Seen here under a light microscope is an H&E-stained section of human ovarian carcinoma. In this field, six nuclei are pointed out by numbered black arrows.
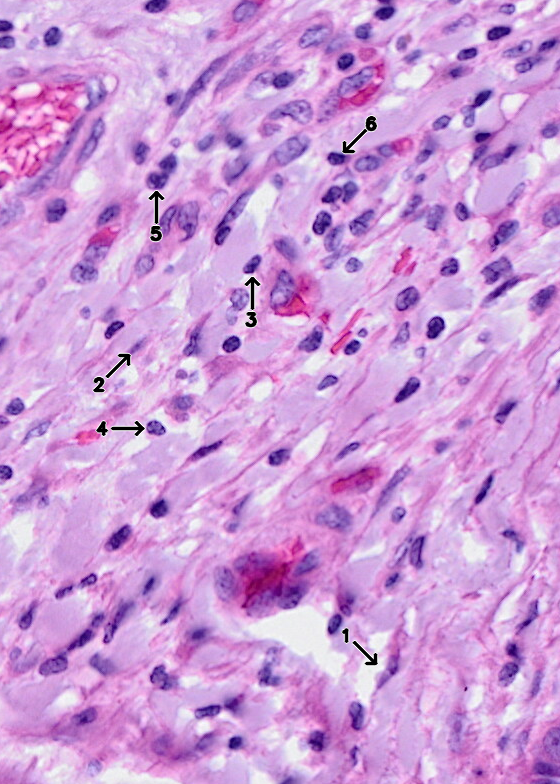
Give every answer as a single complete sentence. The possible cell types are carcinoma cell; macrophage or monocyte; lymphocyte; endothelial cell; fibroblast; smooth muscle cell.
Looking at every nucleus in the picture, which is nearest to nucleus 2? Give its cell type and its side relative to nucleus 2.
It is a lymphocyte, whose nucleus lies above and to the left of nucleus 2.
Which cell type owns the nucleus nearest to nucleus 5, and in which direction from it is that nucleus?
Lying above and to the right of nucleus 5, the nearest nucleus is that of a lymphocyte.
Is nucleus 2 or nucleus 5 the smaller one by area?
With nucleus 5 about 2 times its size, nucleus 2 is the smaller of the two.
